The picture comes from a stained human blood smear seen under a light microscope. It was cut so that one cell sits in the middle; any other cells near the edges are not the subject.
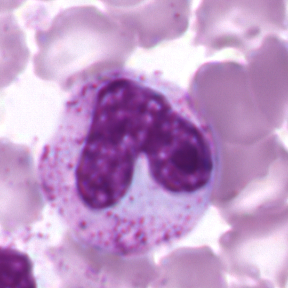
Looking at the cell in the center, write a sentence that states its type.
The cell sitting right in the middle is a band neutrophil.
